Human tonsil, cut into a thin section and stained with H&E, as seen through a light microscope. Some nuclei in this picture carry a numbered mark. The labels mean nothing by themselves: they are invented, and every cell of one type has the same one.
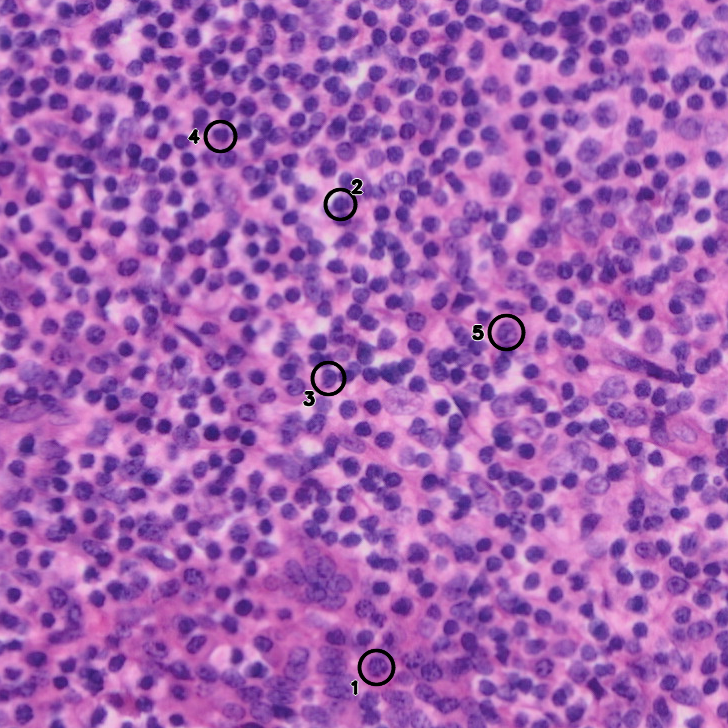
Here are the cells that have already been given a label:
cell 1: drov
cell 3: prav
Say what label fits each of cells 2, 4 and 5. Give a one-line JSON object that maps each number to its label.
{"2": "prav", "4": "prav", "5": "drov"}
